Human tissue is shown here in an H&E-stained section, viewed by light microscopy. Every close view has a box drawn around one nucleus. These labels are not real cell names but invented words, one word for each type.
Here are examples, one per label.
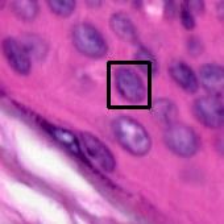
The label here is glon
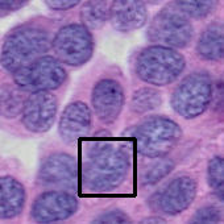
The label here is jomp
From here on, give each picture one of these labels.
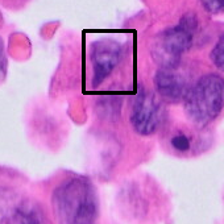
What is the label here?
jomp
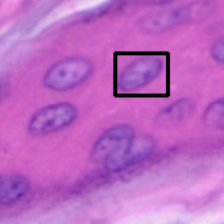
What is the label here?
glon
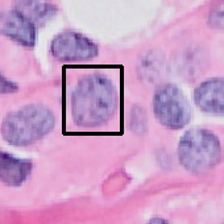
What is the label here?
jomp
